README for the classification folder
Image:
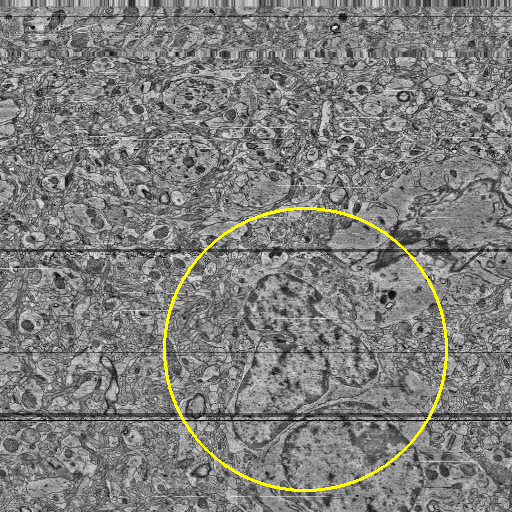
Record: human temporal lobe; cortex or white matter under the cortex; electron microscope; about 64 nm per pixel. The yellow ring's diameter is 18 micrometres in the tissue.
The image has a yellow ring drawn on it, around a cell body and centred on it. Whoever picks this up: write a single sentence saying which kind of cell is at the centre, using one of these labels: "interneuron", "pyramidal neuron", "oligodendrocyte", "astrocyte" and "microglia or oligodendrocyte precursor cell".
This cell body is that of a microglial cell or oligodendrocyte precursor cell.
